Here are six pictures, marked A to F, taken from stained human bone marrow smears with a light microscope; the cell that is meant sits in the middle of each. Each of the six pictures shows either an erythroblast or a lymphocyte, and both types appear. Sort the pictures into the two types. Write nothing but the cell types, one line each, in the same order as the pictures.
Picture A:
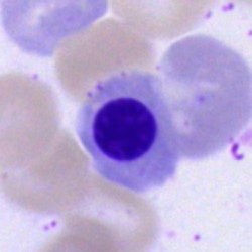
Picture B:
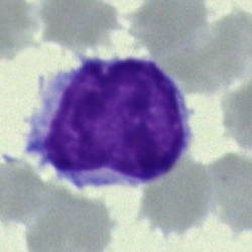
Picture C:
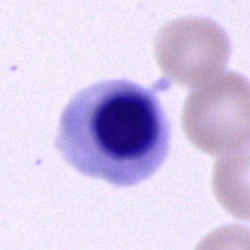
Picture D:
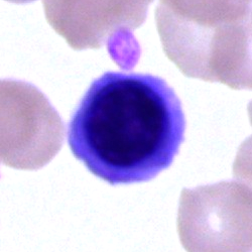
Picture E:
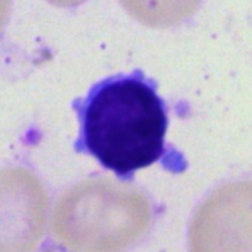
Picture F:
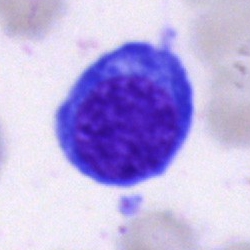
erythroblast
lymphocyte
erythroblast
erythroblast
lymphocyte
erythroblast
